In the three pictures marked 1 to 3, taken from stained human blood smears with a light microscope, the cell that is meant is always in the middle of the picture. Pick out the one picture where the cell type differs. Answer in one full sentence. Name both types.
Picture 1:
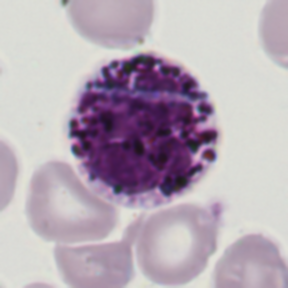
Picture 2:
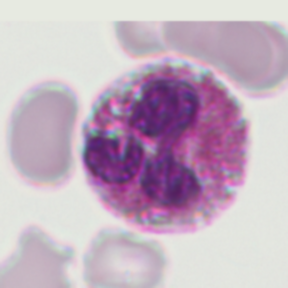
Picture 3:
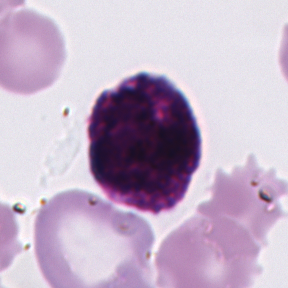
The others show basophils, but picture 2 shows an eosinophil.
